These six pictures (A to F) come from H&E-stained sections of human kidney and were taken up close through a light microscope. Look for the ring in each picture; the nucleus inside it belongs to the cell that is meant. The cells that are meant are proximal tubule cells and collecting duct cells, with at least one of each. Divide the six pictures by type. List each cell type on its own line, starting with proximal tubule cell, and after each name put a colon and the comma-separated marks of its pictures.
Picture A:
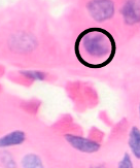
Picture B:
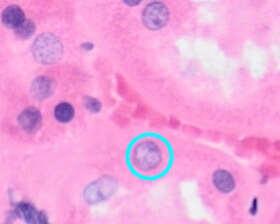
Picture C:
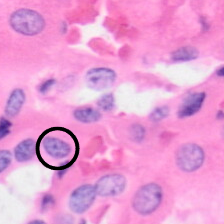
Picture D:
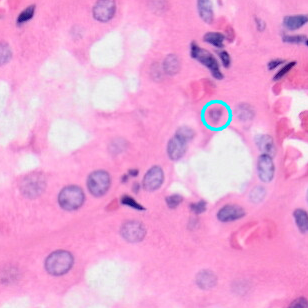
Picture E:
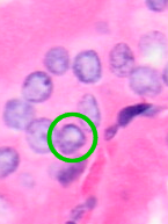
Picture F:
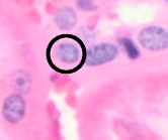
proximal tubule cell: A, B
collecting duct cell: C, D, E, F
